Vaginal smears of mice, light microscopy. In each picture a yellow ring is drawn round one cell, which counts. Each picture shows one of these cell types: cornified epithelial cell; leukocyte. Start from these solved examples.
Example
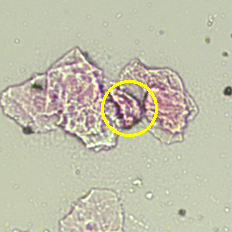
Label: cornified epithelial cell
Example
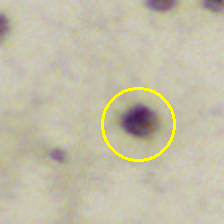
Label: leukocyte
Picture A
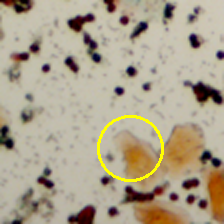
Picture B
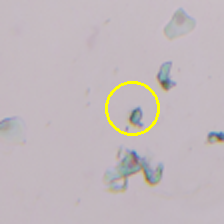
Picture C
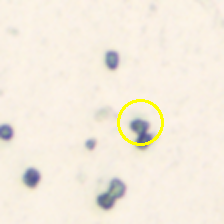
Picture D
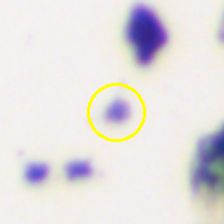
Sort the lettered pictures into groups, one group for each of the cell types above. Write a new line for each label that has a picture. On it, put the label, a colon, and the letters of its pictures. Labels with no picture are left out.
cornified epithelial cell: A, B
leukocyte: C, D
